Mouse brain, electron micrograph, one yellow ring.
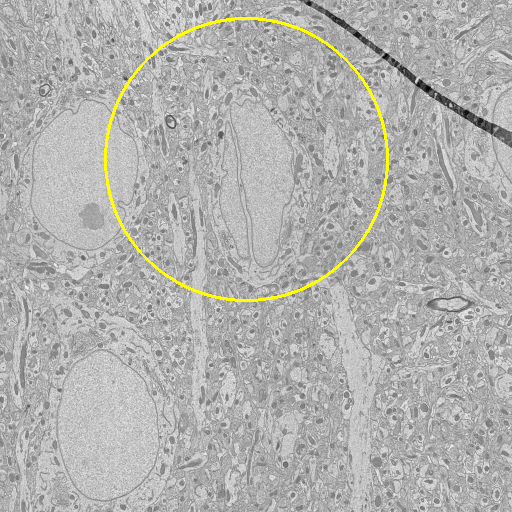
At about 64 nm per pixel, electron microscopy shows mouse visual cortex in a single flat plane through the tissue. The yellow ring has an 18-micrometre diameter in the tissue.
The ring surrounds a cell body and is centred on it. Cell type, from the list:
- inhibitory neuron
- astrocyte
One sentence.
The yellow ring circles an inhibitory neuron.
